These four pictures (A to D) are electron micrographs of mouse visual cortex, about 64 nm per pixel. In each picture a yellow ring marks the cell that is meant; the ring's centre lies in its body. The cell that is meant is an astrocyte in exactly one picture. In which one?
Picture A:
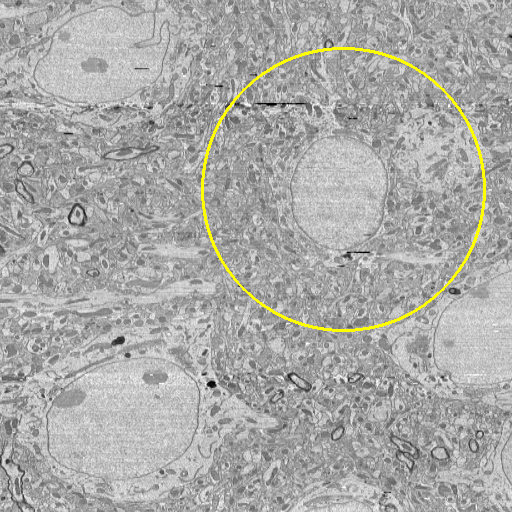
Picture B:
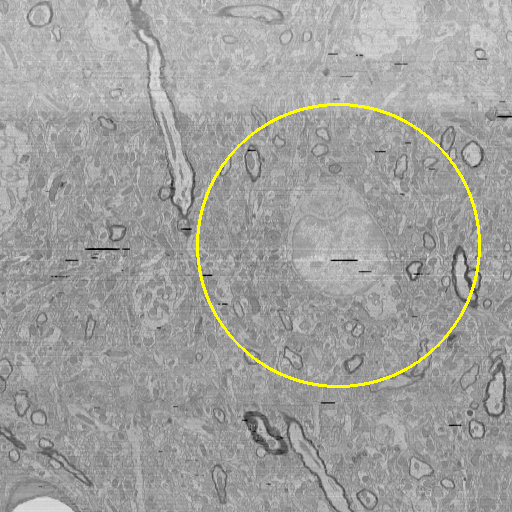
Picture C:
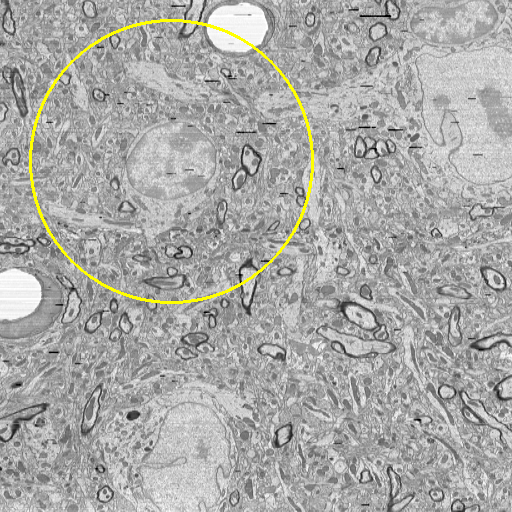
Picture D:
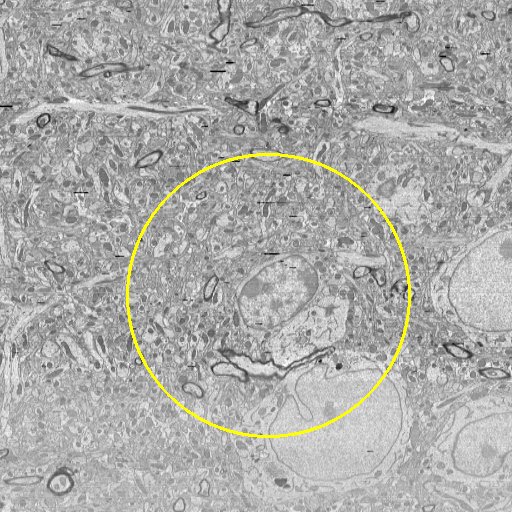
The cell in picture A is the astrocyte.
